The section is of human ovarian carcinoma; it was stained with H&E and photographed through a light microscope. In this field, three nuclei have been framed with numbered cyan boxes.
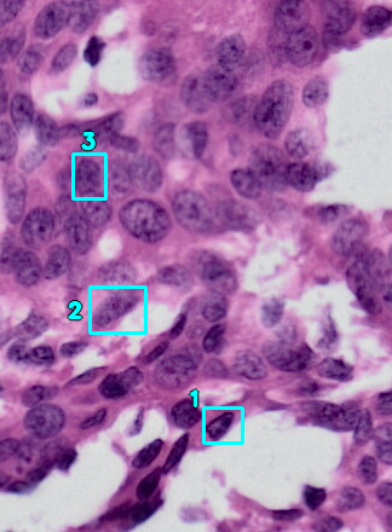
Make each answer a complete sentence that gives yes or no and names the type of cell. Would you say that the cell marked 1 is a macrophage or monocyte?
Yes, the cell distinguished by number 1 is a macrophage or monocyte.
